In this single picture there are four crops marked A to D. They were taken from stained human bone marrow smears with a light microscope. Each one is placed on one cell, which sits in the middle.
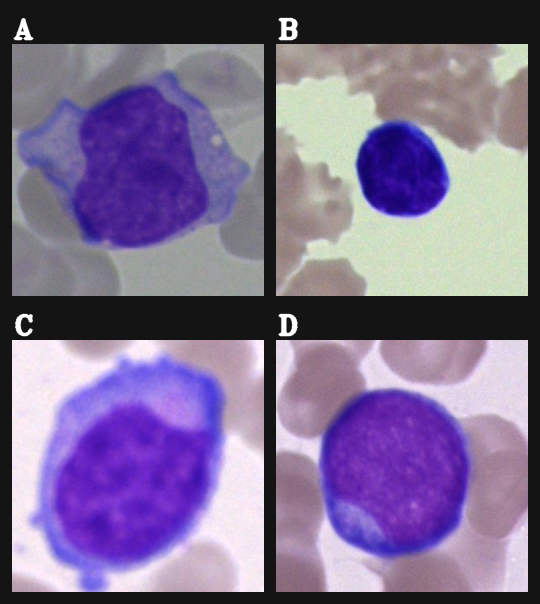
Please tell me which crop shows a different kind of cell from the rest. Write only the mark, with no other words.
B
